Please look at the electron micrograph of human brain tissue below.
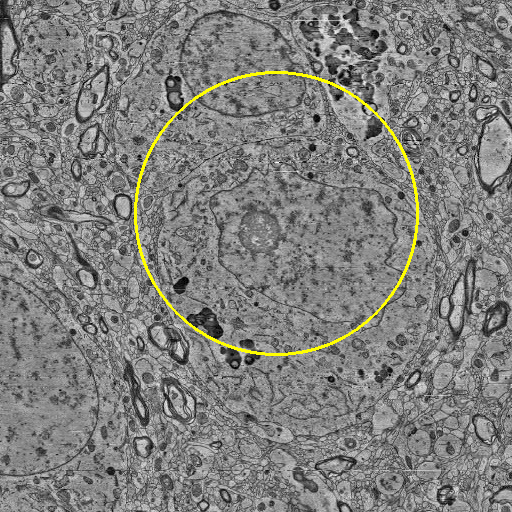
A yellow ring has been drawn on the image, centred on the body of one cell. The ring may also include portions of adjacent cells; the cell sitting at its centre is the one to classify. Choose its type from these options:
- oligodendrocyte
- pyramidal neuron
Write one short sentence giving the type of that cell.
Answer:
The cell in the middle of the ring is a pyramidal neuron.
